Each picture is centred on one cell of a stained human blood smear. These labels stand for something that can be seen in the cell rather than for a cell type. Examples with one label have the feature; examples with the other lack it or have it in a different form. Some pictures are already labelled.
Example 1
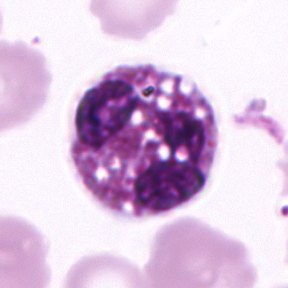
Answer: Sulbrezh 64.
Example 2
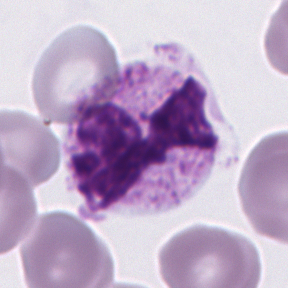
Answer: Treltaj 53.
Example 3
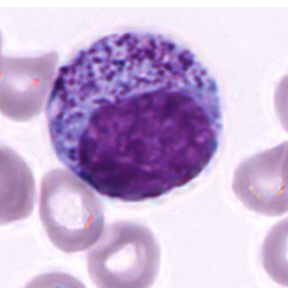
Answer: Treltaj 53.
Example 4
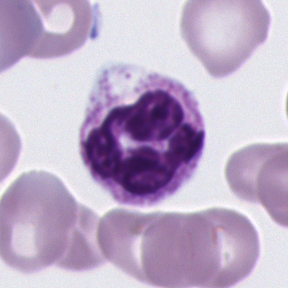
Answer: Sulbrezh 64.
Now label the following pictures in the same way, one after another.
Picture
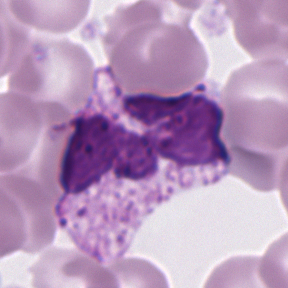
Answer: Sulbrezh 64.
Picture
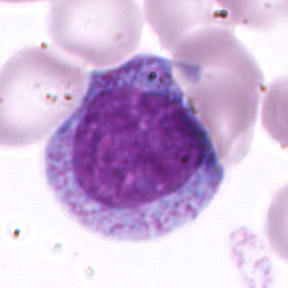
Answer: Sulbrezh 64.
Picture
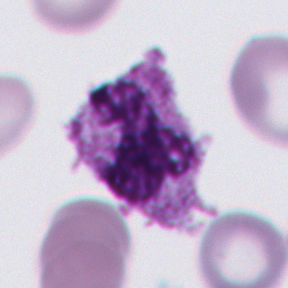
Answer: Sulbrezh 64.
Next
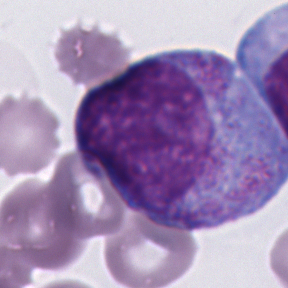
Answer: Sulbrezh 64.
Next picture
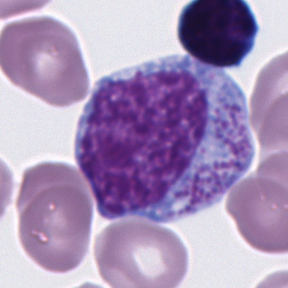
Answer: Sulbrezh 64.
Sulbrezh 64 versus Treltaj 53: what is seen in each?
In Sulbrezh 64: fine or small granules. In Treltaj 53: coarse or large granules.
